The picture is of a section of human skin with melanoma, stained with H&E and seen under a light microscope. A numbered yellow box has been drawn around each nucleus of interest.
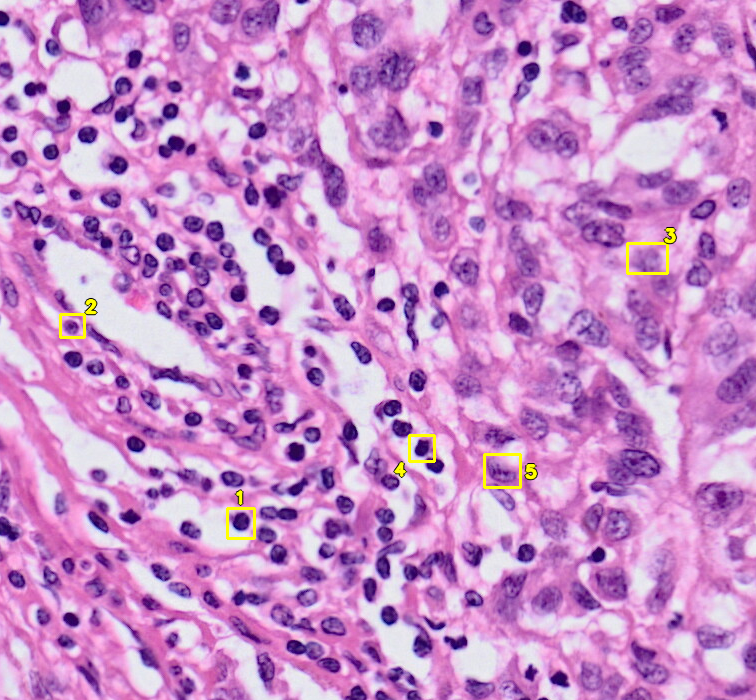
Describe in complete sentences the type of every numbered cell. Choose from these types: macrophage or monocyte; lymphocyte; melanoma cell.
Cell 1 is a lymphocyte, cell 2 is a lymphocyte, cell 3 is a melanoma cell, cell 4 is a lymphocyte and cell 5 is a melanoma cell.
